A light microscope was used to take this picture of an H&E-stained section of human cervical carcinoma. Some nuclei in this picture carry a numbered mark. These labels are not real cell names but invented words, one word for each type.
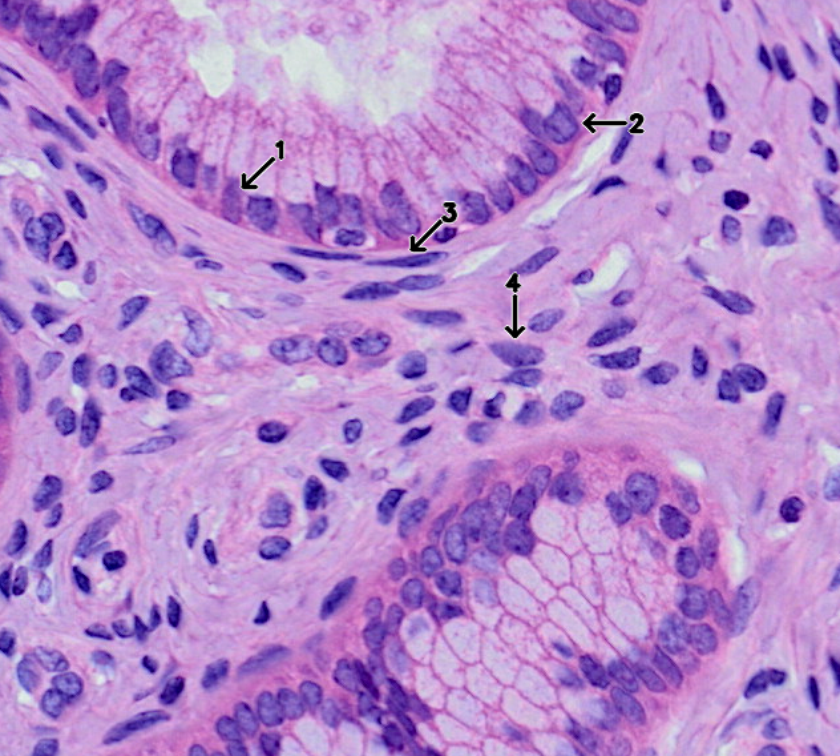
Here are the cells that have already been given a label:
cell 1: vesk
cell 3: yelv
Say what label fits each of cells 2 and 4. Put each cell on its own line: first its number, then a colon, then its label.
2: vesk
4: yelv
